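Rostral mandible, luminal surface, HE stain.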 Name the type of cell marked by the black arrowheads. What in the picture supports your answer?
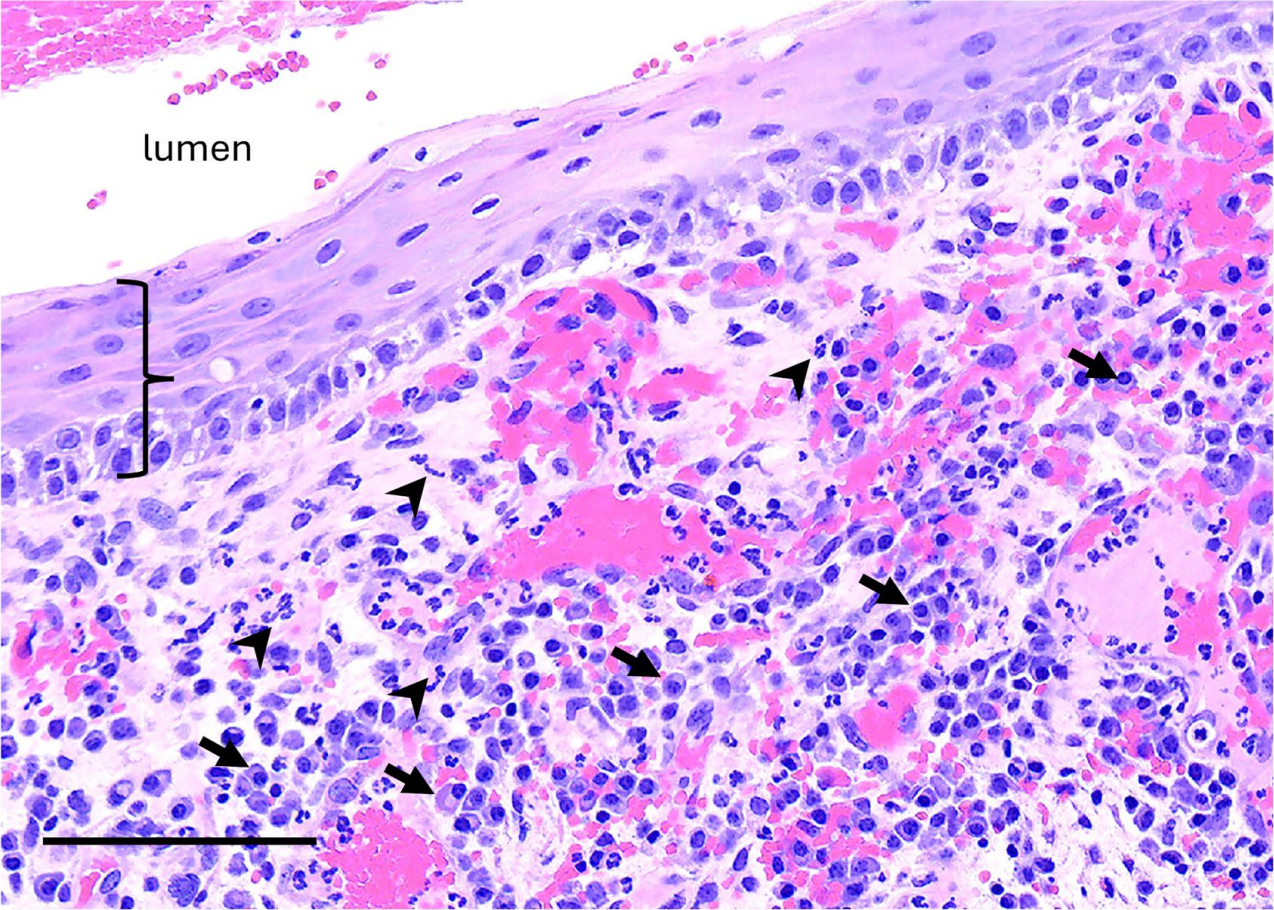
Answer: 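The marked cells are small with dark nuclei split into several lobes. They lie scattered in the loose tissue beneath the epithelium.
Answer: neutrophils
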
